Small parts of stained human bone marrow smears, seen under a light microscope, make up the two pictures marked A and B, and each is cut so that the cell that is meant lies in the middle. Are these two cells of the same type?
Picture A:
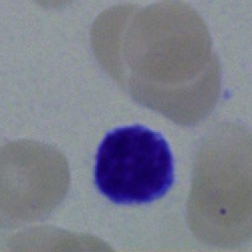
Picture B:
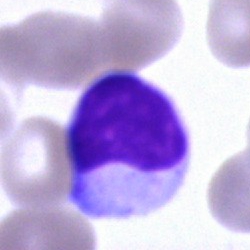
yes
